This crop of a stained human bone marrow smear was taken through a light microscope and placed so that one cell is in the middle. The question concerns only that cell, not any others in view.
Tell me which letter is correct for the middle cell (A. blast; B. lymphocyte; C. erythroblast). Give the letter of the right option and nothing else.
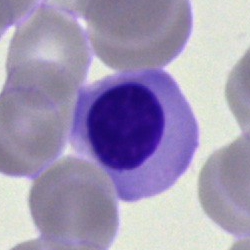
C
